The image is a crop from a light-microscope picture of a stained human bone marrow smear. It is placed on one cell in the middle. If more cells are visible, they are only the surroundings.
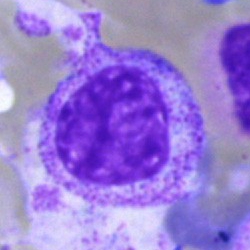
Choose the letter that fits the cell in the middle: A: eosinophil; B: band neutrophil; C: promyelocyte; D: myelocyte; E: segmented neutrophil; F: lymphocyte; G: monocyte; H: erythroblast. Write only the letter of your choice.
D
